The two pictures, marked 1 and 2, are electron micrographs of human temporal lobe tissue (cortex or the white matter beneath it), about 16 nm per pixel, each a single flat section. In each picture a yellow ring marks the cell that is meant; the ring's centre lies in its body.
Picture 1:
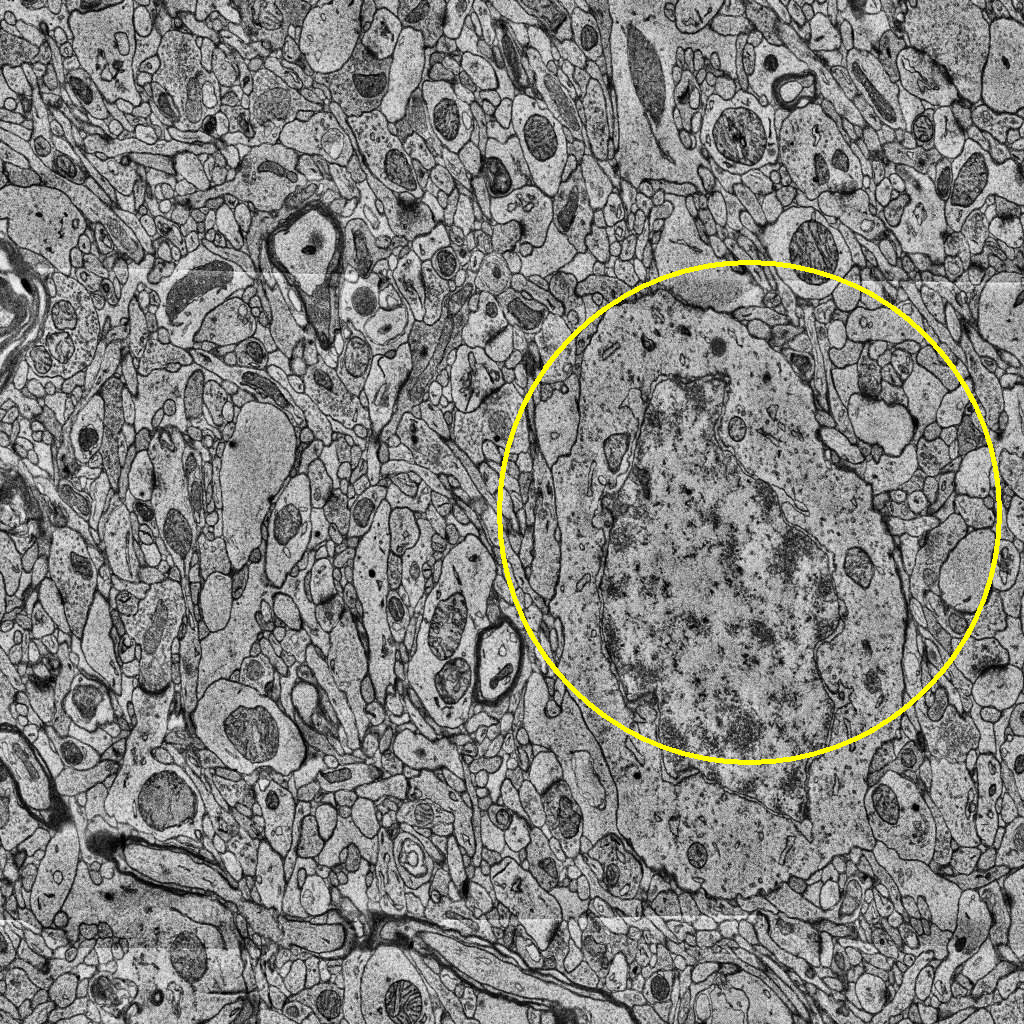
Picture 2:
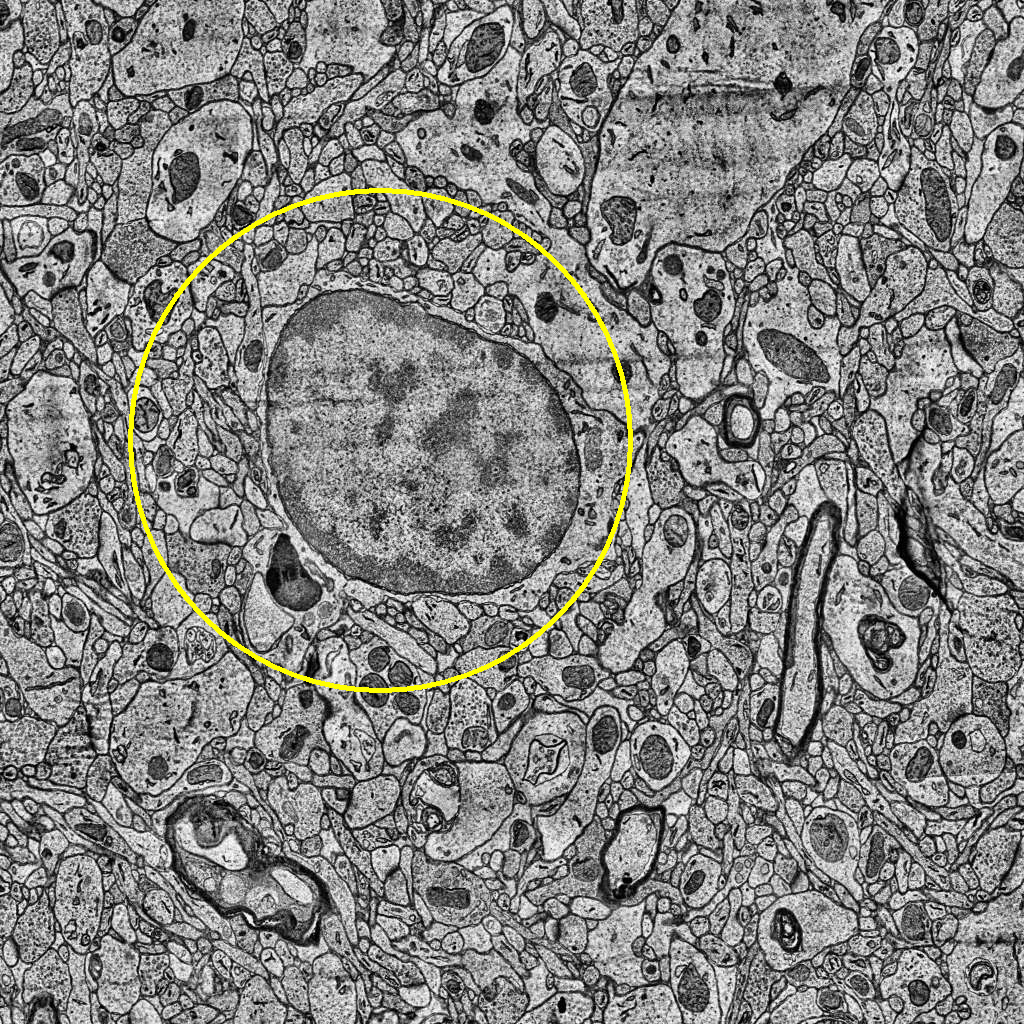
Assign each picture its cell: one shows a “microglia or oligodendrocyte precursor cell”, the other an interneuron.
Picture 1 is of an interneuron, and picture 2 is of a “microglia or oligodendrocyte precursor cell”.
